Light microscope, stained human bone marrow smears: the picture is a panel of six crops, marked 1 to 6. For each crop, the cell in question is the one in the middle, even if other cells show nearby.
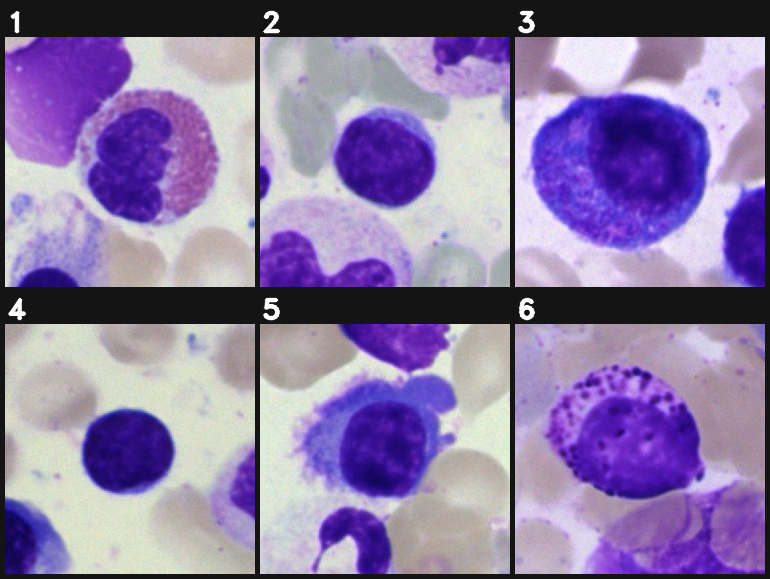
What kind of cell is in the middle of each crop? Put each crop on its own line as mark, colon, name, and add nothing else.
1: eosinophil
2: lymphocyte
3: promyelocyte
4: lymphocyte
5: plasma cell
6: basophil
